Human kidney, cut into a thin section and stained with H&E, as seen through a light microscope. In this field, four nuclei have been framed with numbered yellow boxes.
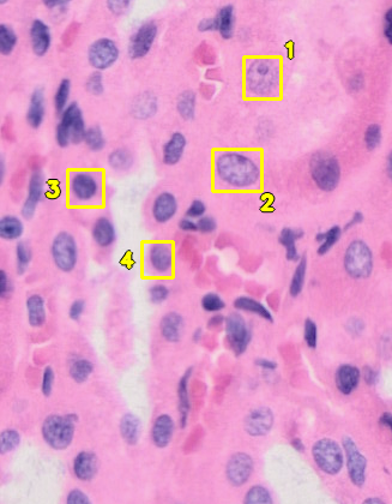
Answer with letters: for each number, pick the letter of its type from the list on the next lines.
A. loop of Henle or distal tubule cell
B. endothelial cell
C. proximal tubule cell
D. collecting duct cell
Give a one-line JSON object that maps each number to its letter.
{"1": "C", "2": "C", "3": "A", "4": "A"}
